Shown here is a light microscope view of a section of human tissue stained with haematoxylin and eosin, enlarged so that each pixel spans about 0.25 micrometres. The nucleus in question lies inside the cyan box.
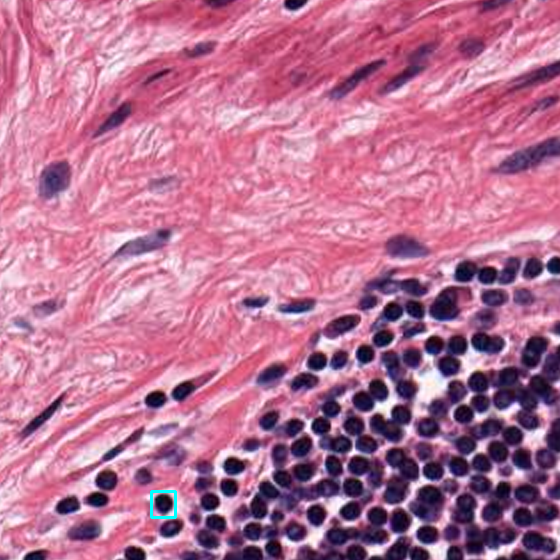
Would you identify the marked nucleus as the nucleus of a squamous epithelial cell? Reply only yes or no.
no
